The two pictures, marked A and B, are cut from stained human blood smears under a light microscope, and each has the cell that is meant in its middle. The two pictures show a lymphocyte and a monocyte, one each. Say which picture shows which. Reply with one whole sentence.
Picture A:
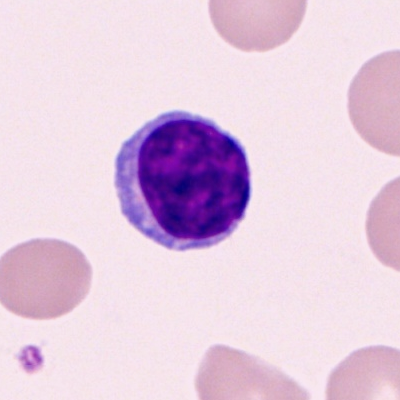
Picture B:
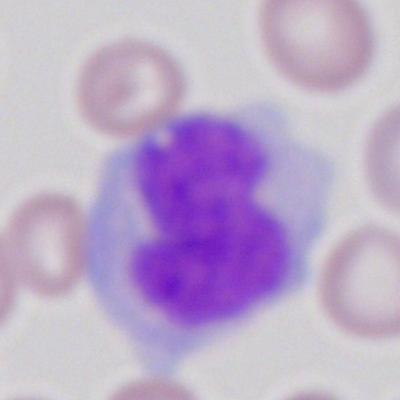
Picture B shows a monocyte, while picture A shows a lymphocyte.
